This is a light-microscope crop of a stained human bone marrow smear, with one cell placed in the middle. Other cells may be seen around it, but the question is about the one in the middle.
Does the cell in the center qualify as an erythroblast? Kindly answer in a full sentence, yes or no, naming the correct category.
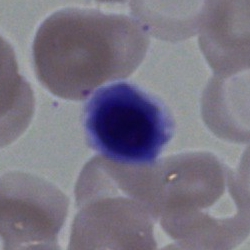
Yes, the cell at the heart of the crop is an erythroblast.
